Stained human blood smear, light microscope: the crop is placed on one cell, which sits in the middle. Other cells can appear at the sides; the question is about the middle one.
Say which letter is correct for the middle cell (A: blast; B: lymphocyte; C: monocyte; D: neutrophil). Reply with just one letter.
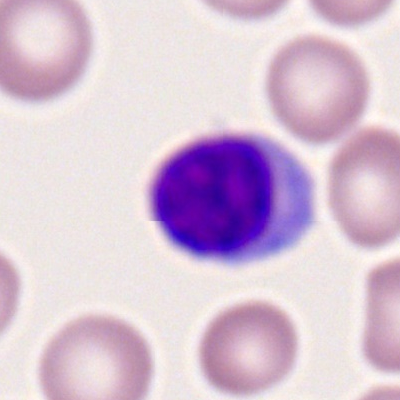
B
